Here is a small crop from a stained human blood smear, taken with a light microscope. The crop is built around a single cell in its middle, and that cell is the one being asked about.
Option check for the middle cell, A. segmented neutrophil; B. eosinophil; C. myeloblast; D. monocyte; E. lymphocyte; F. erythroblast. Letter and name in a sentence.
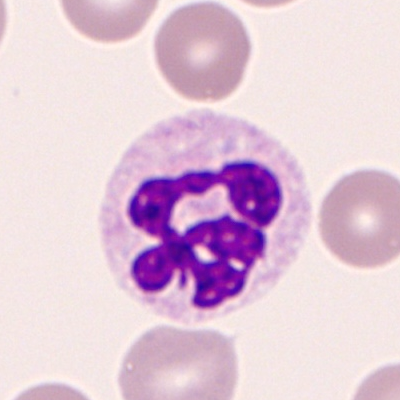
Option A is correct in that the central cell is a segmented neutrophil.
